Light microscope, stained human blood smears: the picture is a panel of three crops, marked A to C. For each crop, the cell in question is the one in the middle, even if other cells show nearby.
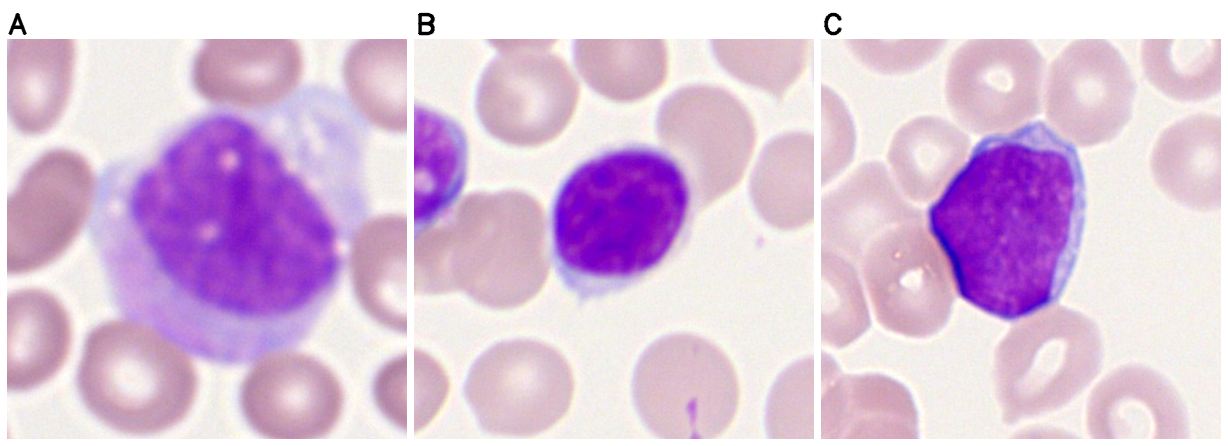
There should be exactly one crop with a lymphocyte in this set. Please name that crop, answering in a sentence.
The crop that shows a lymphocyte is crop B.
